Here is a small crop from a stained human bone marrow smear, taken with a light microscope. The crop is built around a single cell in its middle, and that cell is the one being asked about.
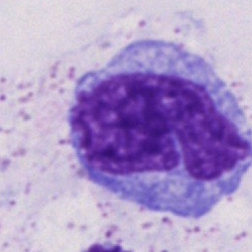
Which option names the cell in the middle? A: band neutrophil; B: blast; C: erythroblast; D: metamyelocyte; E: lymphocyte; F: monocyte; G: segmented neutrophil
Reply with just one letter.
F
